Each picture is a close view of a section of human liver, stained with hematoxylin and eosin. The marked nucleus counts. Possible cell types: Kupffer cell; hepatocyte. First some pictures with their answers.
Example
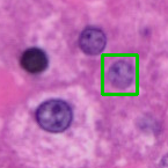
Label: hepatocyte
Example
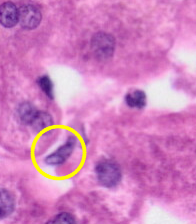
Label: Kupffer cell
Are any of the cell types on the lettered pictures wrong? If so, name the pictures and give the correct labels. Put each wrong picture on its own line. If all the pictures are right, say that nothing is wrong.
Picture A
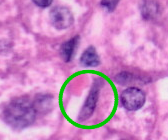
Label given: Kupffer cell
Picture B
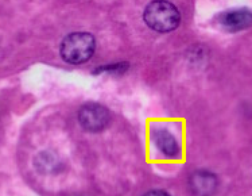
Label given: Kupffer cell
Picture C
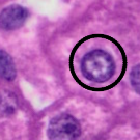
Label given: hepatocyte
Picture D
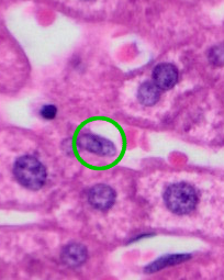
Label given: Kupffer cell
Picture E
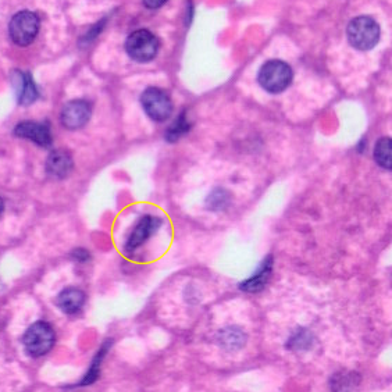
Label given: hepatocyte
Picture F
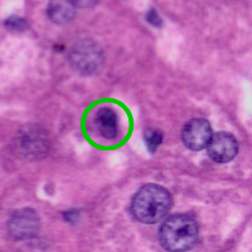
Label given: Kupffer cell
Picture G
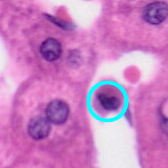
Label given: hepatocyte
E should be Kupffer cell, not hepatocyte
G should be Kupffer cell, not hepatocyte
